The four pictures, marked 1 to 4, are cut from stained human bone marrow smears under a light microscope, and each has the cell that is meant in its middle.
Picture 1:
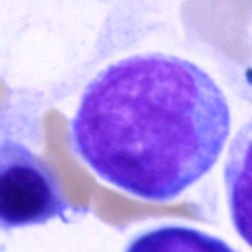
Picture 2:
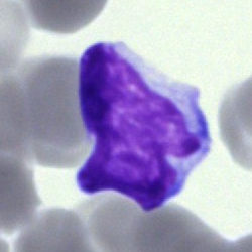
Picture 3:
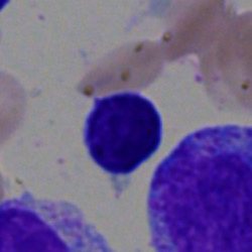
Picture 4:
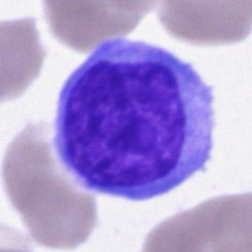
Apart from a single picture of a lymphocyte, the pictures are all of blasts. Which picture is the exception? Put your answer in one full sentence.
The lymphocyte is the one in picture 3.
